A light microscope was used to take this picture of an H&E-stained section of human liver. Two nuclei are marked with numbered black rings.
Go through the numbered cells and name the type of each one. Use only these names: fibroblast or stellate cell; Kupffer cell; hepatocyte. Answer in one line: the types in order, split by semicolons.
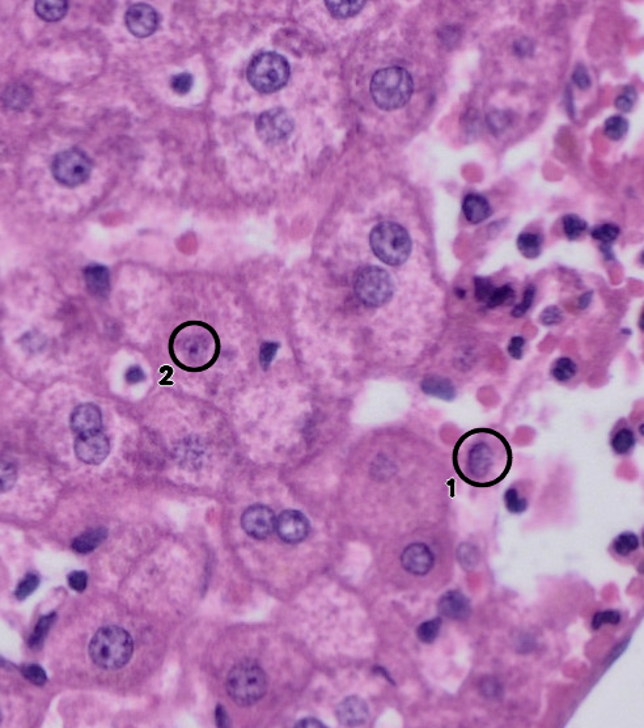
Kupffer cell; hepatocyte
